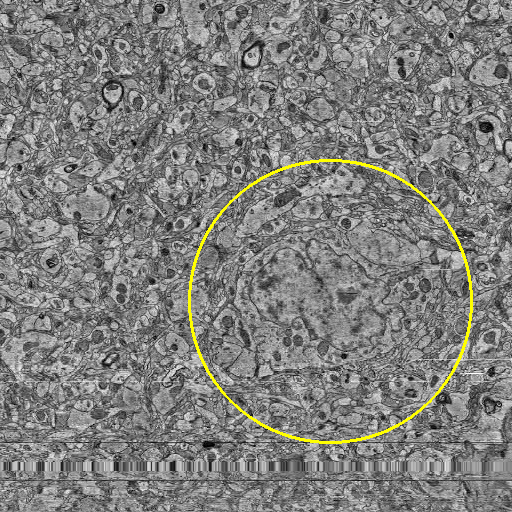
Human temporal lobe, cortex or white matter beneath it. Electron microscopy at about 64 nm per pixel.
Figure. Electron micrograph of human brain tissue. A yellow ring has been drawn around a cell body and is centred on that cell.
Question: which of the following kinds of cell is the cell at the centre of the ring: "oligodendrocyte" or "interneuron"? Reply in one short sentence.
The cell at the centre of the ring is an interneuron.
